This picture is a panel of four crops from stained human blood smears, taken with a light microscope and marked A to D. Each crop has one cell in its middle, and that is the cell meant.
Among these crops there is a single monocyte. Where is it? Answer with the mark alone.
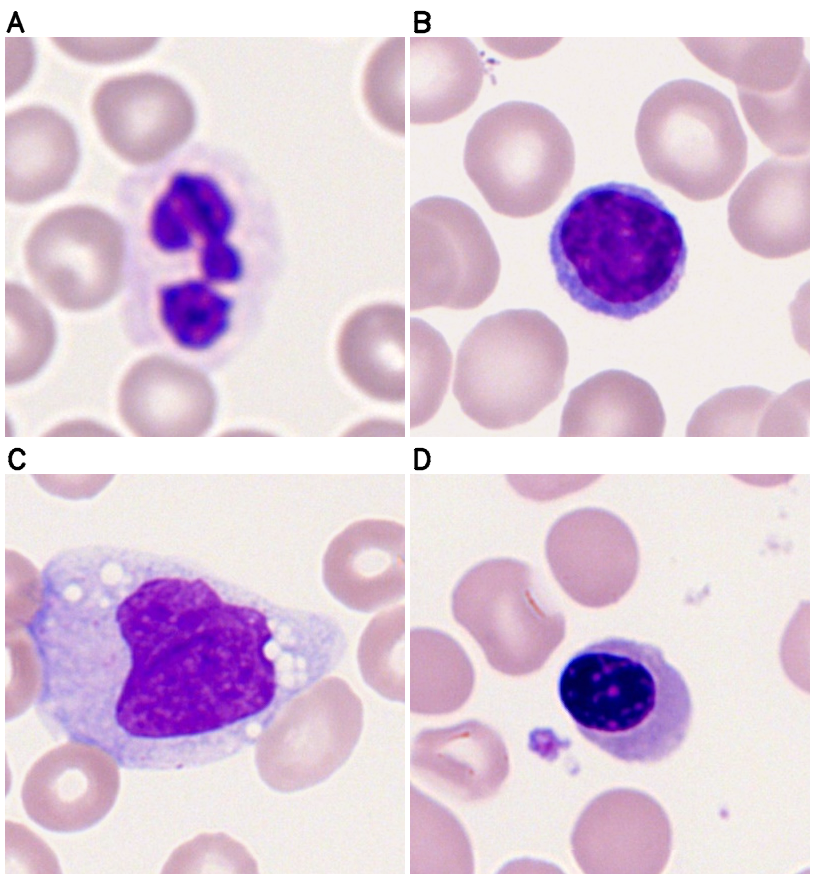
C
